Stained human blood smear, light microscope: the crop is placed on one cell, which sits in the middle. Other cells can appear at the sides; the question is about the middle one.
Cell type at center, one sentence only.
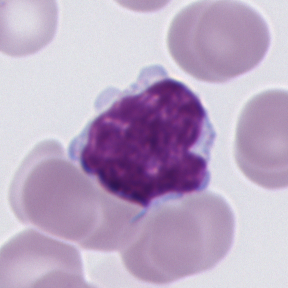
To answer, the cell in the center of the crop is a large granular lymphocyte.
